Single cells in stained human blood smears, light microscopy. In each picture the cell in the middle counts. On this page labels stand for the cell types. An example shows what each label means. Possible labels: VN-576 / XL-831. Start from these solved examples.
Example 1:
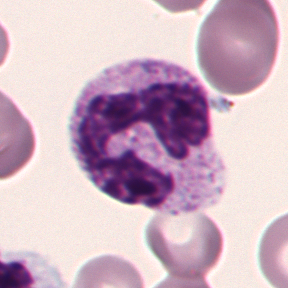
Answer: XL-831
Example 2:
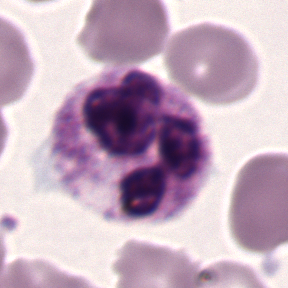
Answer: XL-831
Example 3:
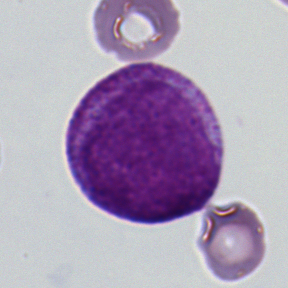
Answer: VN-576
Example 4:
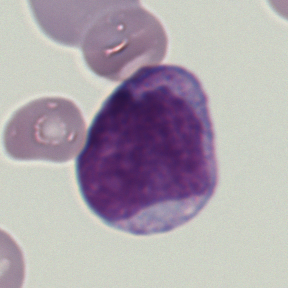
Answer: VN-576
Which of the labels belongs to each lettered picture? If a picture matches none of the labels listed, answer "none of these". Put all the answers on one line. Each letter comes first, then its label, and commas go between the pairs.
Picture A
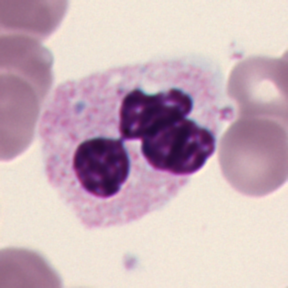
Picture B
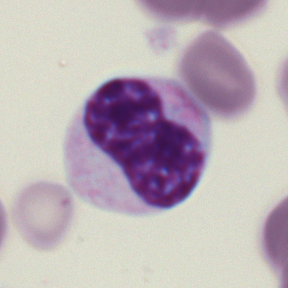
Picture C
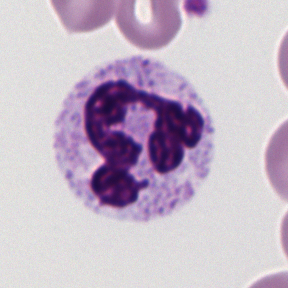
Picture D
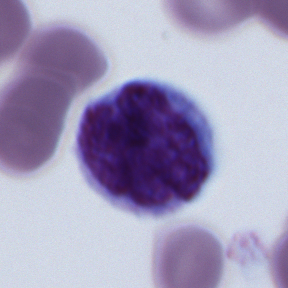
A XL-831, B XL-831, C XL-831, D none of these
